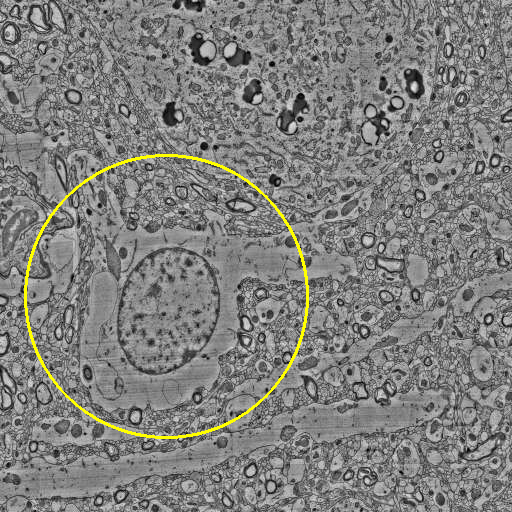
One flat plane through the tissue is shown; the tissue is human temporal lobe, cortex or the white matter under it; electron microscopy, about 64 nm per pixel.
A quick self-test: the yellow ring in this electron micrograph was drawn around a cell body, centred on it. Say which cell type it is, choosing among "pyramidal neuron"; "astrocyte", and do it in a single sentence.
The yellow-ringed cell is an astrocyte.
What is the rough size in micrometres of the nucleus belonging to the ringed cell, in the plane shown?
In this plane, about 8 micrometres in length and 6 in width.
